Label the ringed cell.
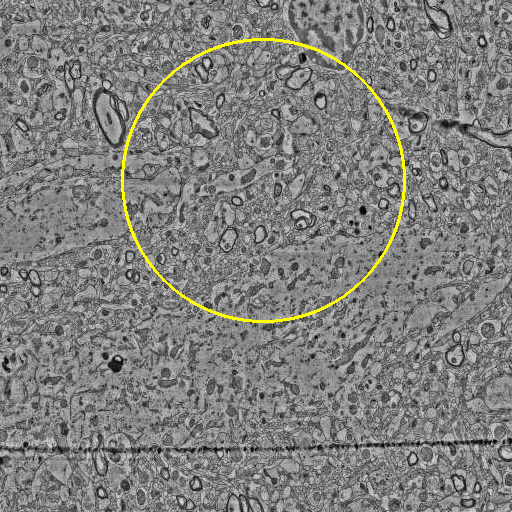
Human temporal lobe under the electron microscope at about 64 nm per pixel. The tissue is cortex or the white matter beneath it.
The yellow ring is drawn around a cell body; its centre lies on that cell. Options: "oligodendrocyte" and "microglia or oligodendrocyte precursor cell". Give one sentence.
The ringed cell is an oligodendrocyte.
